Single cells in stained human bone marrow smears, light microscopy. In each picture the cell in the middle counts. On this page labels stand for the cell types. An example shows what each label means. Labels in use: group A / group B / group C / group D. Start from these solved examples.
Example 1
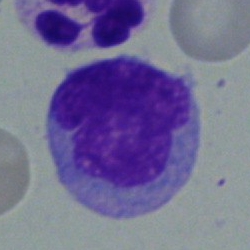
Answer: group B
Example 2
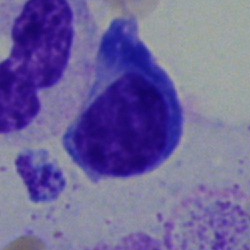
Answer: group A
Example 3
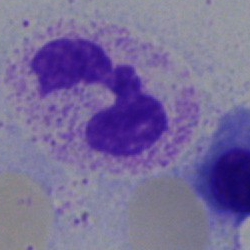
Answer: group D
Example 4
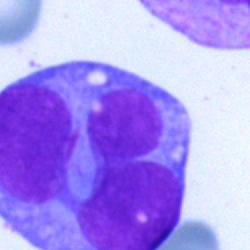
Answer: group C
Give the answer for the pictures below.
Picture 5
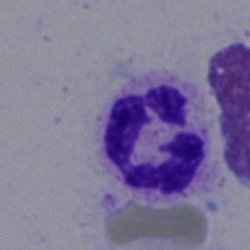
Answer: group D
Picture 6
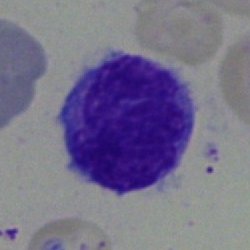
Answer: group B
